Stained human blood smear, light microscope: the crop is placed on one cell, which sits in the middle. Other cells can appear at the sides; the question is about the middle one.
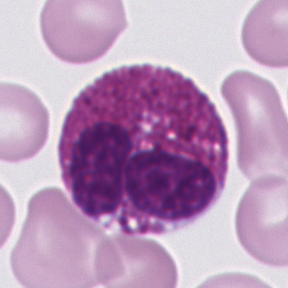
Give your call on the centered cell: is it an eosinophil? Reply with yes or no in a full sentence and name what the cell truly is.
Yes, the cell sitting in the center is an eosinophil.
